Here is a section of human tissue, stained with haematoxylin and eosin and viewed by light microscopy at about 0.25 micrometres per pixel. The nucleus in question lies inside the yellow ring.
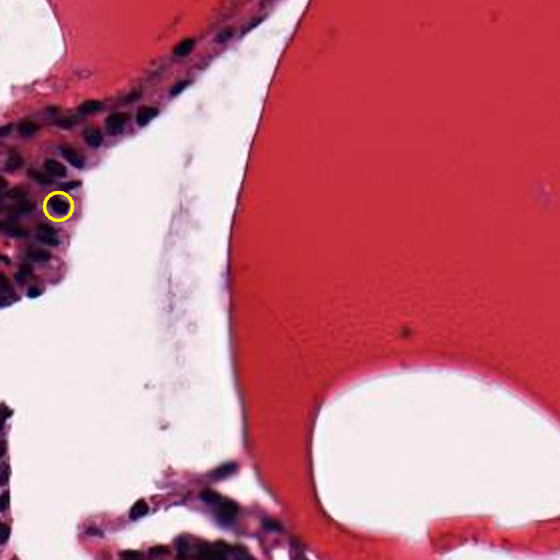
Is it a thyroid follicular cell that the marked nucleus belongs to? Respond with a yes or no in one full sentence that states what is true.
Yes, the marked nucleus is the nucleus of a thyroid follicular cell.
